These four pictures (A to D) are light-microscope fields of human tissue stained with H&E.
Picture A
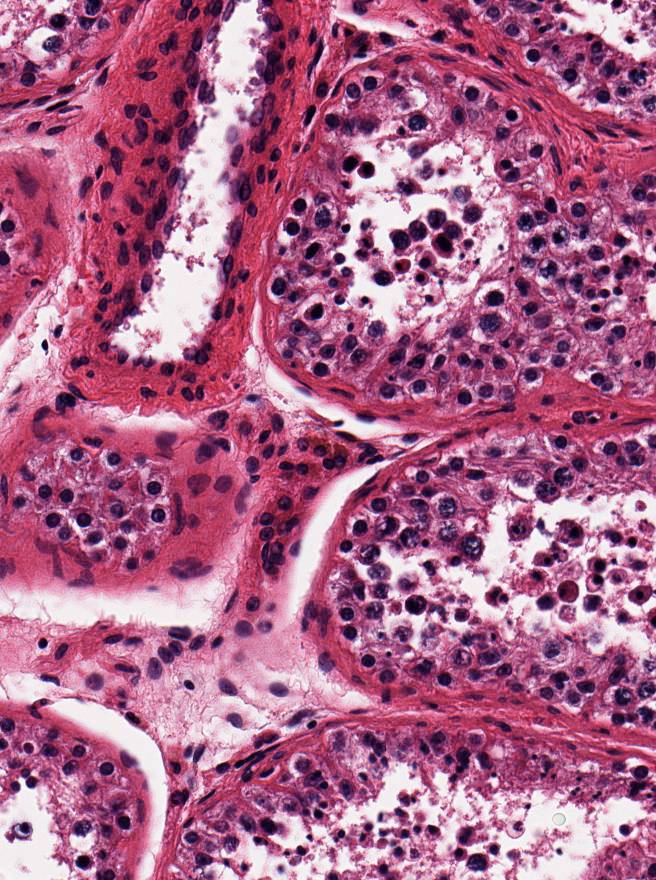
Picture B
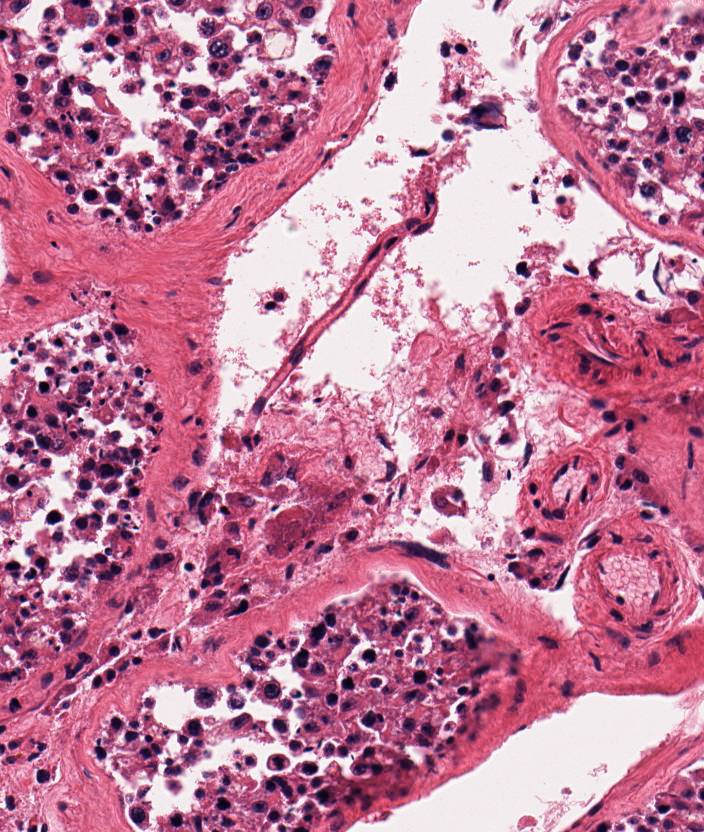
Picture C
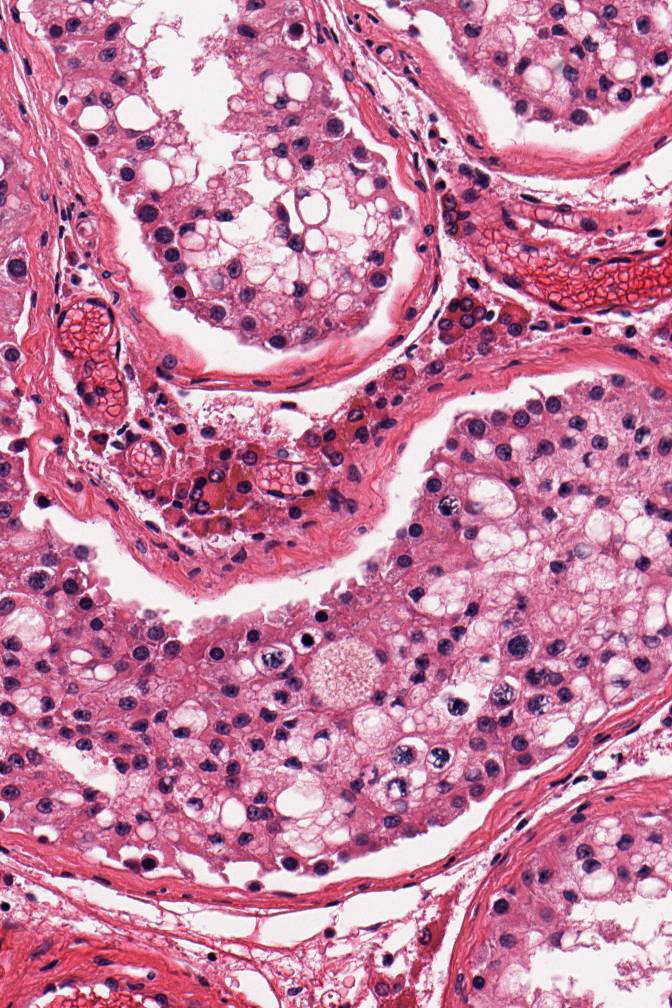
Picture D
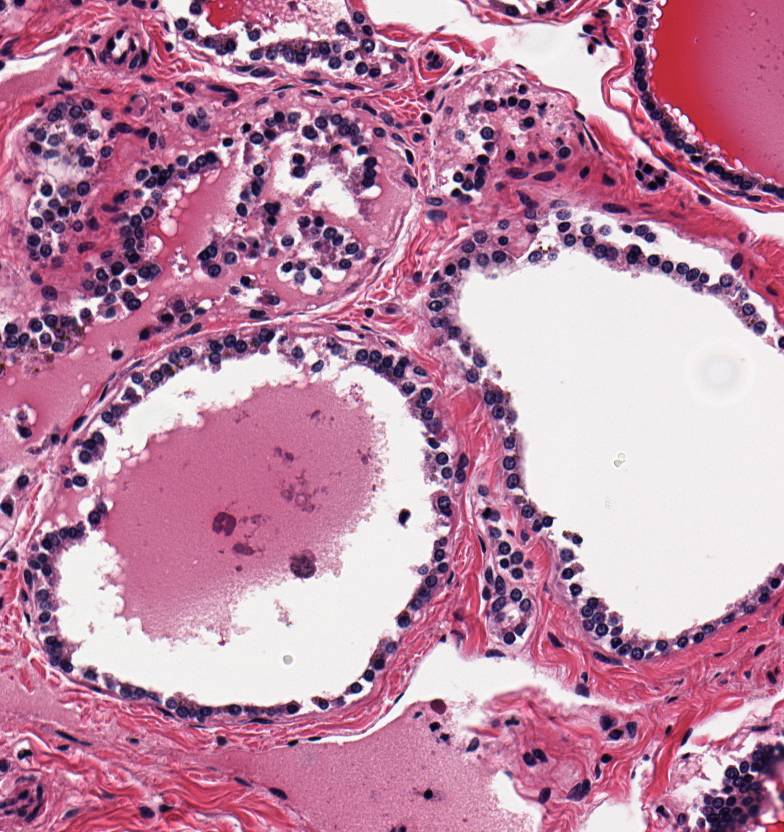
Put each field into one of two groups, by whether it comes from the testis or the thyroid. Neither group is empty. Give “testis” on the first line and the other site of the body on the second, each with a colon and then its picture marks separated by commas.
testis: A, B, C
thyroid: D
